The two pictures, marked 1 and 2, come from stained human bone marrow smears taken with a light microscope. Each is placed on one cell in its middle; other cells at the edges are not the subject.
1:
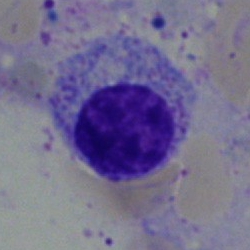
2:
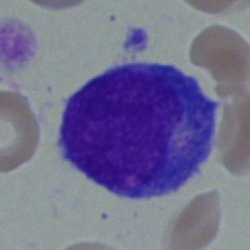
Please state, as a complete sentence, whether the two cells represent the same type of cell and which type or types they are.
No; crop 1 is a myelocyte, while crop 2 is a blast.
